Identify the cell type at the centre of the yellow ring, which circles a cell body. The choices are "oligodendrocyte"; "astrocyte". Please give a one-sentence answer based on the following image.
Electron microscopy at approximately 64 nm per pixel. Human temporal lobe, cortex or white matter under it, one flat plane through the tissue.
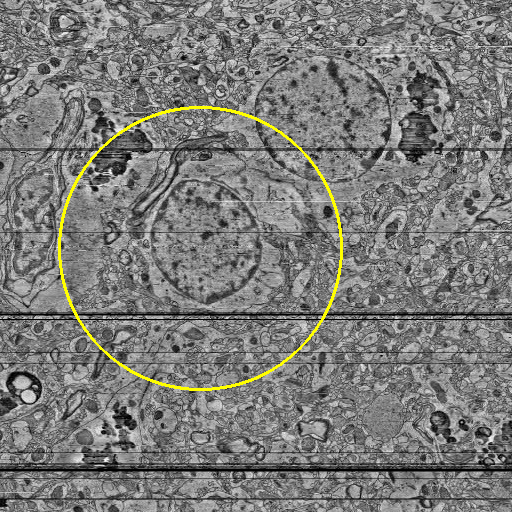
The cell marked by the ring is an astrocyte.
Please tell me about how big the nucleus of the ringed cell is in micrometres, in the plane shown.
Approximately 8 by 7 micrometers in this plane.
